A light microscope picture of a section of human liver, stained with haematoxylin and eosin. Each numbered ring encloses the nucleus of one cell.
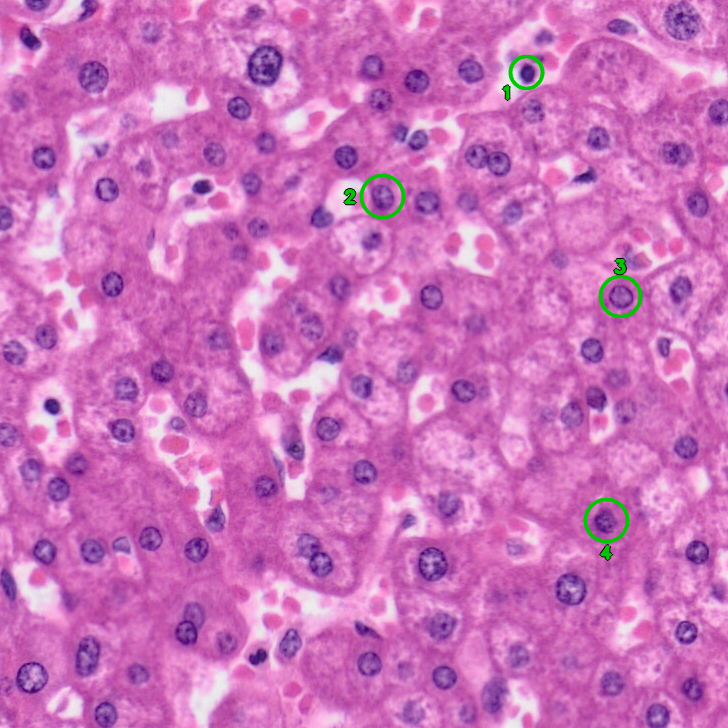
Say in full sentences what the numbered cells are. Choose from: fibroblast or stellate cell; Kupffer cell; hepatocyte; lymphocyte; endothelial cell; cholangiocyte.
Cell 1 is a lymphocyte. Cells 2, 3 and 4 are hepatocytes.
